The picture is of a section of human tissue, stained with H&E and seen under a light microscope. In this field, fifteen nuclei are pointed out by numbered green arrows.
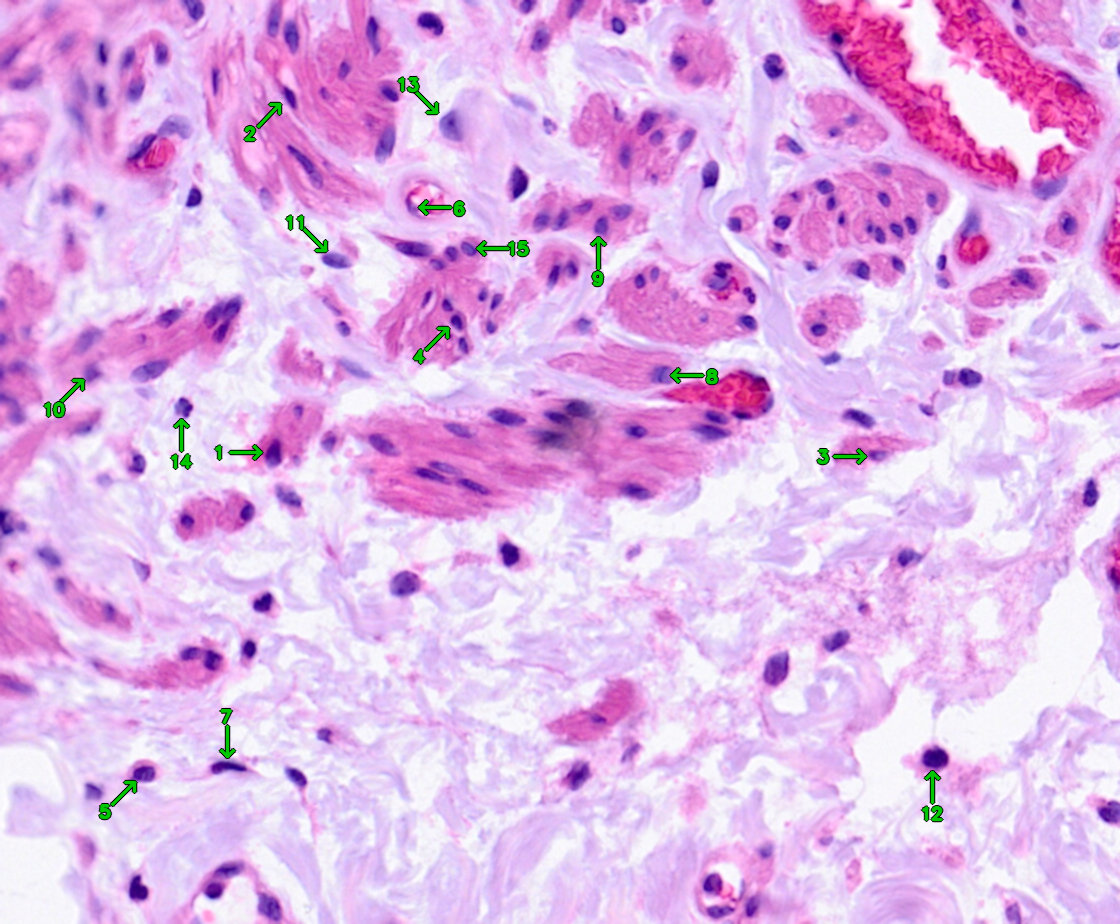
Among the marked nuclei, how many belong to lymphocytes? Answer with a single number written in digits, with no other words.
1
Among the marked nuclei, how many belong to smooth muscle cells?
8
